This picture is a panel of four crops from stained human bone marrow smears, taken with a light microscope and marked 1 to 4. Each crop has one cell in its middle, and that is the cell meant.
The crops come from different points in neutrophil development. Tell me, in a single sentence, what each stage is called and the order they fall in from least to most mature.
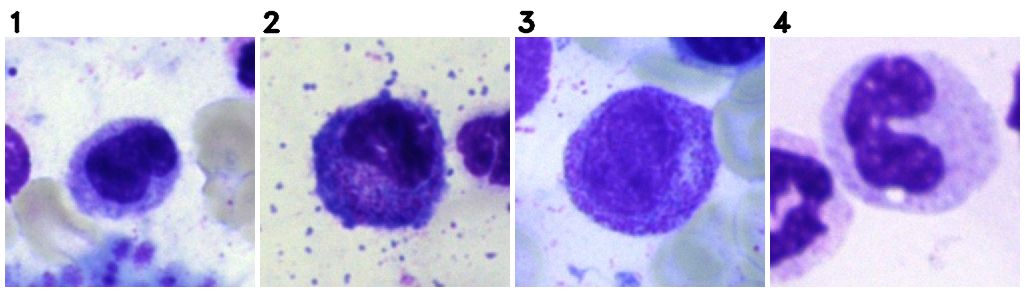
The stages, ordered from least to most mature, are crop 2 (a promyelocyte), crop 3 (a myelocyte), crop 1 (a metamyelocyte) and crop 4 (a band neutrophil).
